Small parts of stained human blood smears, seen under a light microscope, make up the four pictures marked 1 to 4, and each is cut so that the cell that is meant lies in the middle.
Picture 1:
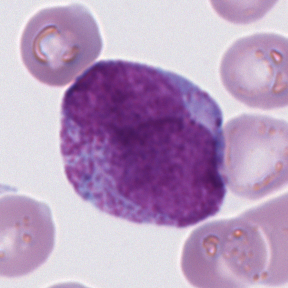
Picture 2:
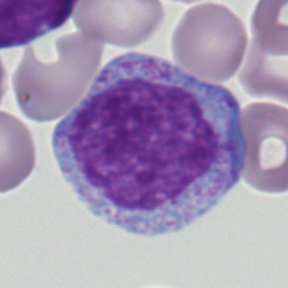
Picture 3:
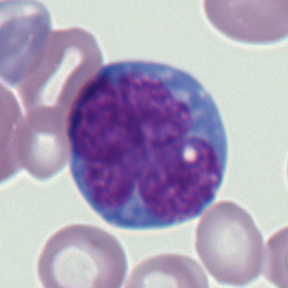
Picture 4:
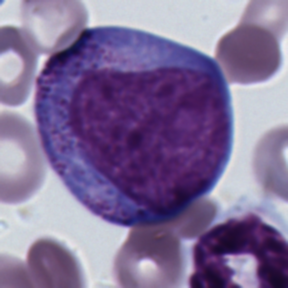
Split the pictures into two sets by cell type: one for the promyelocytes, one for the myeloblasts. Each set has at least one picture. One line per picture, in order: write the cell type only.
promyelocyte
promyelocyte
myeloblast
promyelocyte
